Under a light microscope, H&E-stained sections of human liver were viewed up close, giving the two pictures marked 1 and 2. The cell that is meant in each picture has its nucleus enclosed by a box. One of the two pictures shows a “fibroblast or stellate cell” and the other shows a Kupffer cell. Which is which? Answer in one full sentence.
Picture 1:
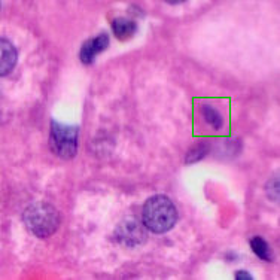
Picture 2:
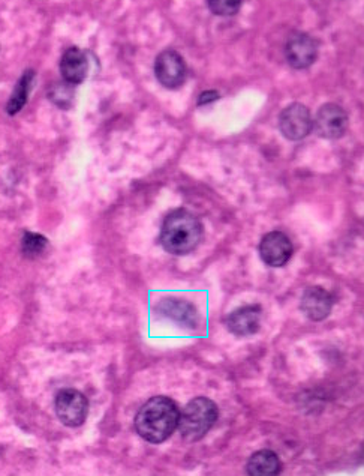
It is picture 1 that shows a “fibroblast or stellate cell”, and picture 2 that shows a Kupffer cell.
